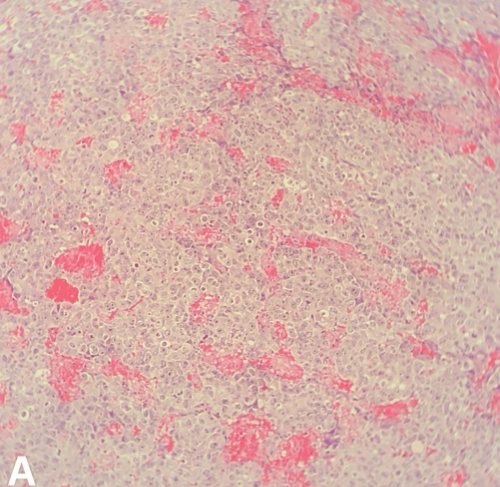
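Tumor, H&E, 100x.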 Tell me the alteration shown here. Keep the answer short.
Hemorrhage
